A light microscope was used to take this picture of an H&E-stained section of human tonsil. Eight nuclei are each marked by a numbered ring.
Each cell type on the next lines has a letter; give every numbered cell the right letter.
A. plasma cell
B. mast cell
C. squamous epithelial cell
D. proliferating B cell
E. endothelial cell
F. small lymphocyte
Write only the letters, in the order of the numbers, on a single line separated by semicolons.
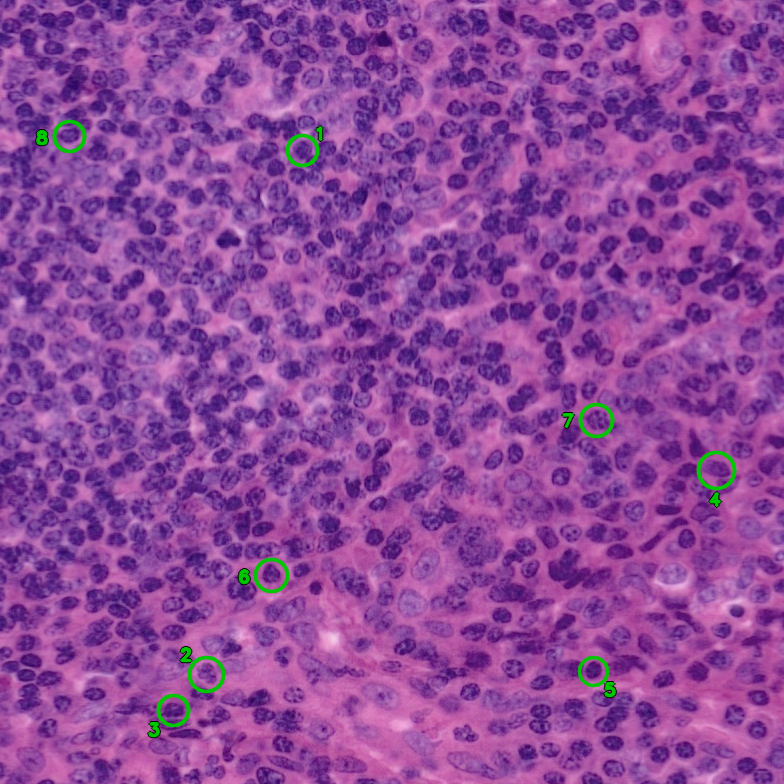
F; E; A; C; A; A; A; F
